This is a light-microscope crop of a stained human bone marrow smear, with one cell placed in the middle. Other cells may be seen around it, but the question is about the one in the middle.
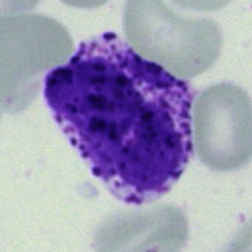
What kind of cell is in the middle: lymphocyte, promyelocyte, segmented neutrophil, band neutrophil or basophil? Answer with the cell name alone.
basophil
